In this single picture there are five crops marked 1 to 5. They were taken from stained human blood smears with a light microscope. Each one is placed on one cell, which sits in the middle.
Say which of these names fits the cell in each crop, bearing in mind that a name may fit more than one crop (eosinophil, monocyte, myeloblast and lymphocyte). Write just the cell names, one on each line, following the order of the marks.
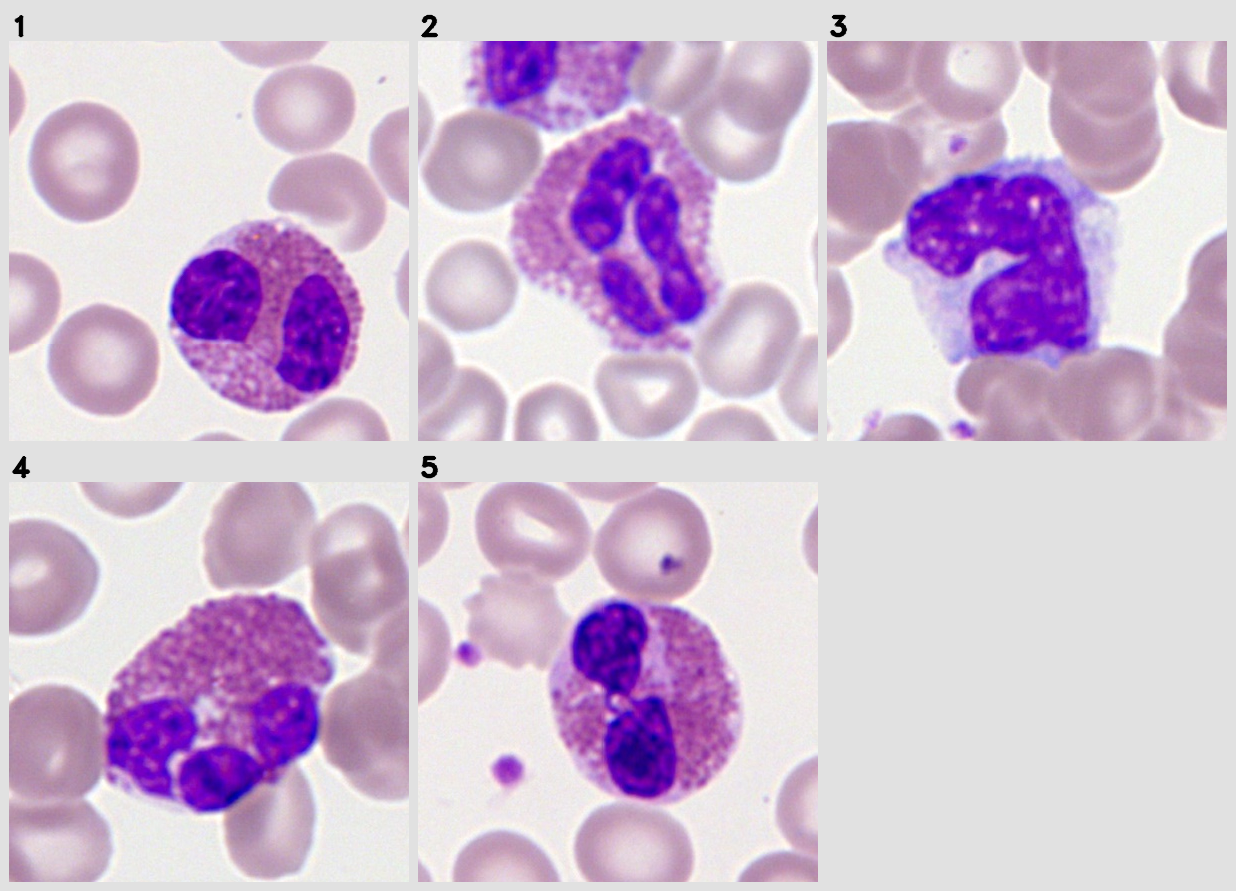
eosinophil
eosinophil
monocyte
eosinophil
eosinophil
